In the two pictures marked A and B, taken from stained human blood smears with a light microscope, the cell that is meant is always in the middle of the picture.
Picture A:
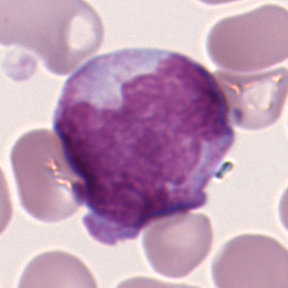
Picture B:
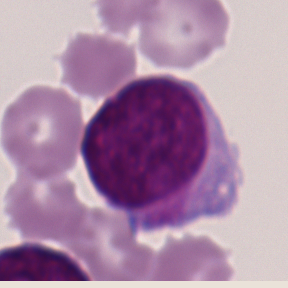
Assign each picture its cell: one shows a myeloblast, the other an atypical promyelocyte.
A: atypical promyelocyte
B: myeloblast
